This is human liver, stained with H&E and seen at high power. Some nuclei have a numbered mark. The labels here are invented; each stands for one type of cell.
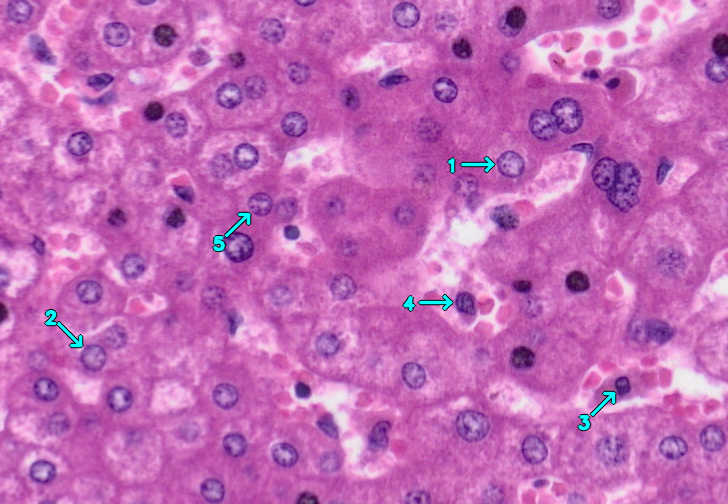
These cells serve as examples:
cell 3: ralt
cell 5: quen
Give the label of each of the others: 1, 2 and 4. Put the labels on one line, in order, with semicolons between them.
quen; quen; ralt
